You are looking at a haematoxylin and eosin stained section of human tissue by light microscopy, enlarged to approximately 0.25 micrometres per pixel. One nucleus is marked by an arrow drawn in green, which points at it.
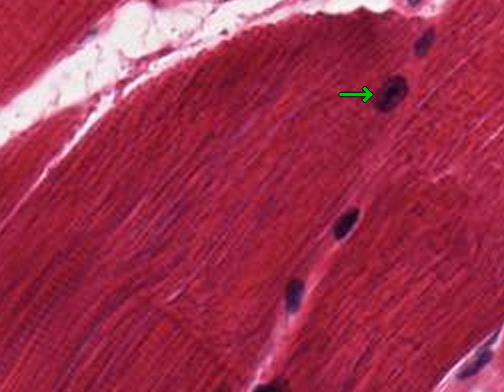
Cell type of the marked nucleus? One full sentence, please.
Indicated by the mark is a nucleus that belongs to a skeletal muscle fibre.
